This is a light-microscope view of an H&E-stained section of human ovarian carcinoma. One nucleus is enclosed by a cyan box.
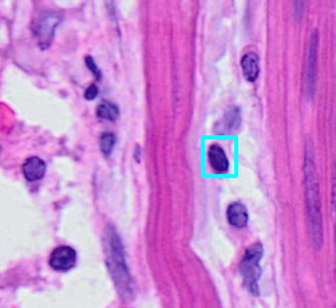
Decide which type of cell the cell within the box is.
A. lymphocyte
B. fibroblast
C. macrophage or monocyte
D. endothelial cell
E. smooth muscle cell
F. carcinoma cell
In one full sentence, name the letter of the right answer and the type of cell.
Option A correctly identifies the cell within the box as a lymphocyte.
